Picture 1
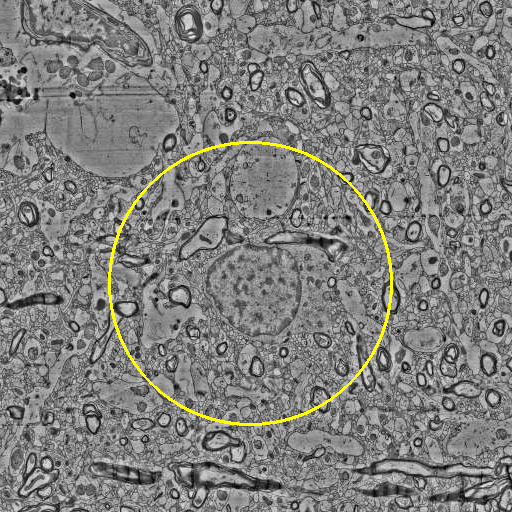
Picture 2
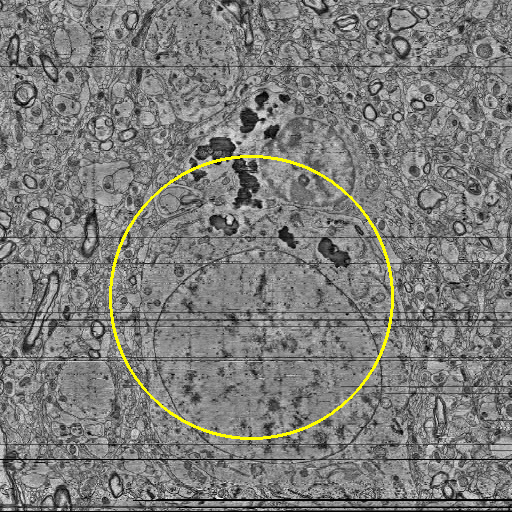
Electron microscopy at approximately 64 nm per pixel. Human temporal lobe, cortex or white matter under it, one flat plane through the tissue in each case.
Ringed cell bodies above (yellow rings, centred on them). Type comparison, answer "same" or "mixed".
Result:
mixed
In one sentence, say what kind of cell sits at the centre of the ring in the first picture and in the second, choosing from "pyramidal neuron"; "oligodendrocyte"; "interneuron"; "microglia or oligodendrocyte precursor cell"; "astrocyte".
The first picture's ringed cell is an oligodendrocyte, while the second picture's is a pyramidal neuron.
